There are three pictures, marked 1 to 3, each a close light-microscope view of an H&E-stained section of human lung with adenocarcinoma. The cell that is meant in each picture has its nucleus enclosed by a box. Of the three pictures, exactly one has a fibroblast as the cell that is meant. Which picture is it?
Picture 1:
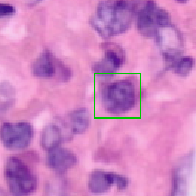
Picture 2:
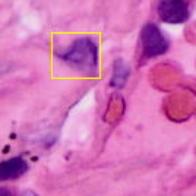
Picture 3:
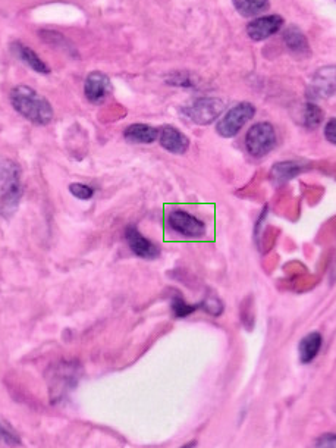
2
